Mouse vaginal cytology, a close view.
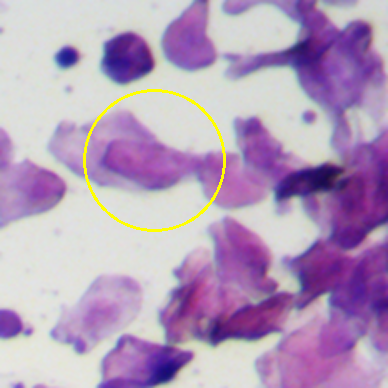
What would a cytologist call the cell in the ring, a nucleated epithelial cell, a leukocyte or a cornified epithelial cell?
A cytologist would call it a cornified epithelial cell.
